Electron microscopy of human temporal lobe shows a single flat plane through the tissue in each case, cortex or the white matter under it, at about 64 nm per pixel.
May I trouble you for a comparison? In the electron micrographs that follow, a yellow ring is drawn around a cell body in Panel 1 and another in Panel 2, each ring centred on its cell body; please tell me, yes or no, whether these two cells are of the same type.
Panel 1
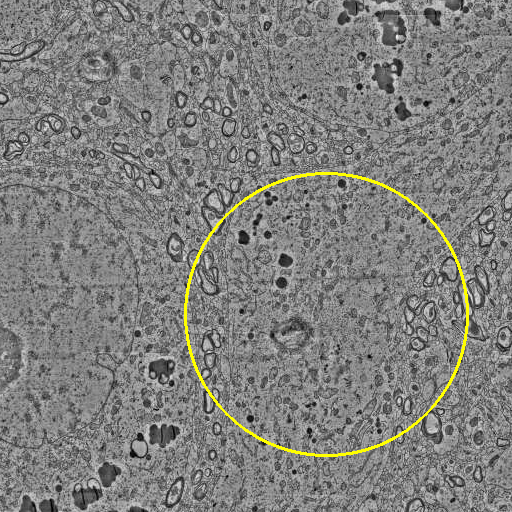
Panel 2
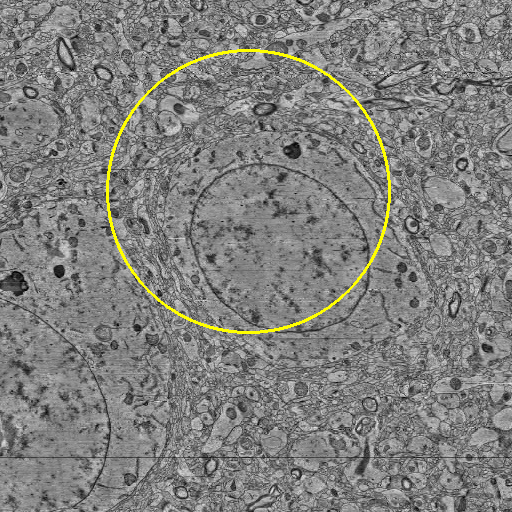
yes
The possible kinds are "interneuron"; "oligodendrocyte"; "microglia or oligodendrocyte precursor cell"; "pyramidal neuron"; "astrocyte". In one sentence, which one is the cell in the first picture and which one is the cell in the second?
Each of the two rings is centred on a pyramidal neuron.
